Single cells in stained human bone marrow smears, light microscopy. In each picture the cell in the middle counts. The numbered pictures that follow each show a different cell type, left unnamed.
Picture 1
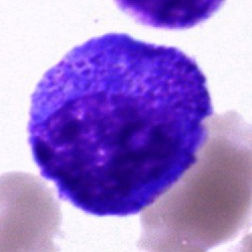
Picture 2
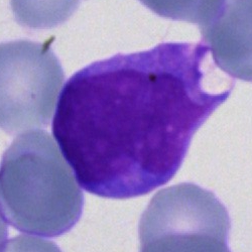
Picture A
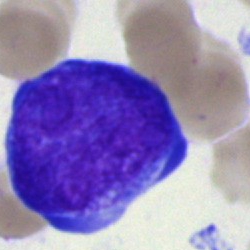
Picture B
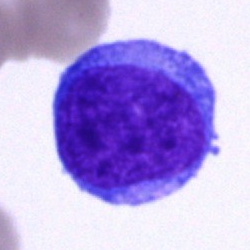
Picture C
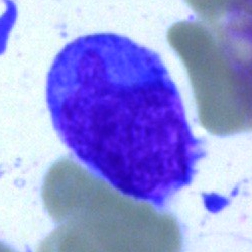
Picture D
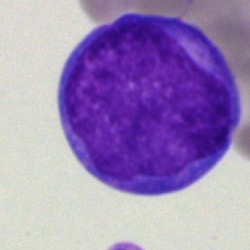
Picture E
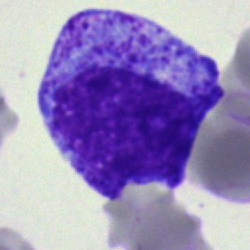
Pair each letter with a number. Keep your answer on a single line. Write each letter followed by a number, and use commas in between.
A 2, B 2, C 2, D 2, E 1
